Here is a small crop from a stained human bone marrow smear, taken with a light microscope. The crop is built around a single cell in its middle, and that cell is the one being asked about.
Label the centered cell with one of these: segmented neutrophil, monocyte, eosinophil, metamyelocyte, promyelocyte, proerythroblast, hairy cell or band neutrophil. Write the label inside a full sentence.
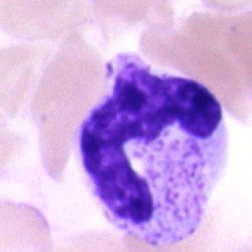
The centered cell in this crop is a segmented neutrophil.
